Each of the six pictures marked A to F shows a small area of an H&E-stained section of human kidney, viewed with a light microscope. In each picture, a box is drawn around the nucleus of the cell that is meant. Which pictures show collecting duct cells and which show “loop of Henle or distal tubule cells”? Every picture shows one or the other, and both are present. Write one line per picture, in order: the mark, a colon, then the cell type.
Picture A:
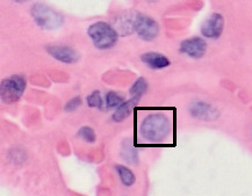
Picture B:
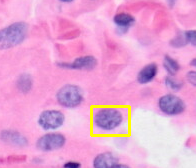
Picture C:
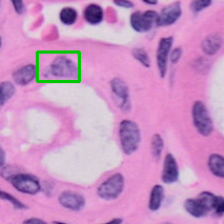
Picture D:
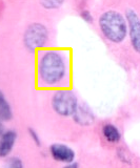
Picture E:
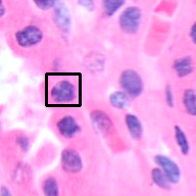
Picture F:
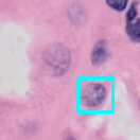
A: collecting duct cell
B: loop of Henle or distal tubule cell
C: collecting duct cell
D: loop of Henle or distal tubule cell
E: loop of Henle or distal tubule cell
F: loop of Henle or distal tubule cell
